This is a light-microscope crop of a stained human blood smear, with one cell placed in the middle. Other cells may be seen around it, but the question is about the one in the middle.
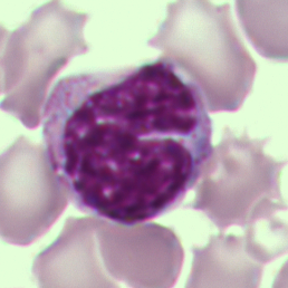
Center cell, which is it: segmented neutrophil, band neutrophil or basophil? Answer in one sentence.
The crop shows a band neutrophil in its centre.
